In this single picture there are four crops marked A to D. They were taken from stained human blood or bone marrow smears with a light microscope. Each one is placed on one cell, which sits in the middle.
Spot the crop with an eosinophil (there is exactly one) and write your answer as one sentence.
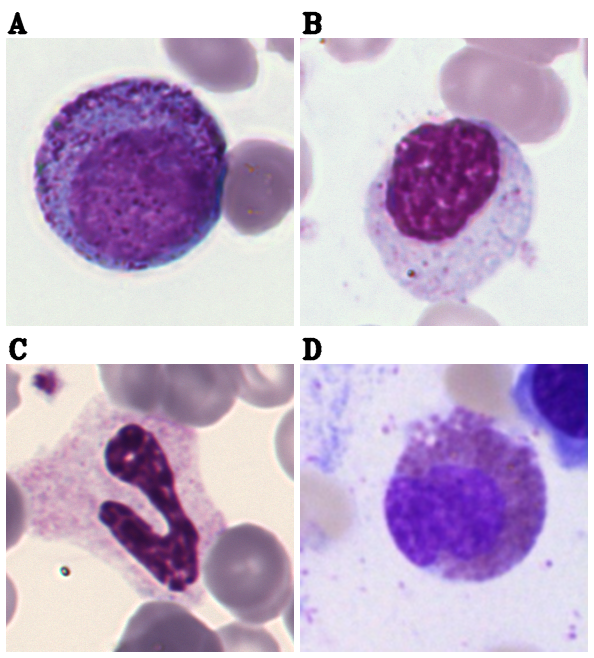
Crop D is the correct crop, and it shows an eosinophil.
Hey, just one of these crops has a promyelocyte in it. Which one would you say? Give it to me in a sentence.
Crop A, and no other, shows a promyelocyte.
